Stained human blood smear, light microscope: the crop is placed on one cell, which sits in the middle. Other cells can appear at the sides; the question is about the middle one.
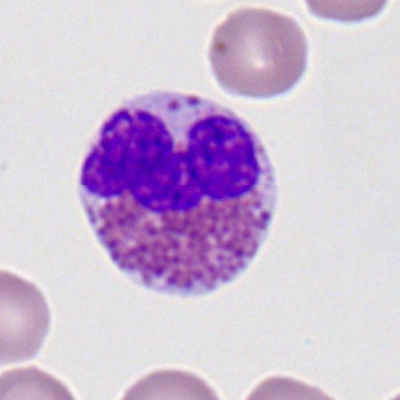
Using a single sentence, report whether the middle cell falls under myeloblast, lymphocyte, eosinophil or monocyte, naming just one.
The cell sitting right in the middle is an eosinophil.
